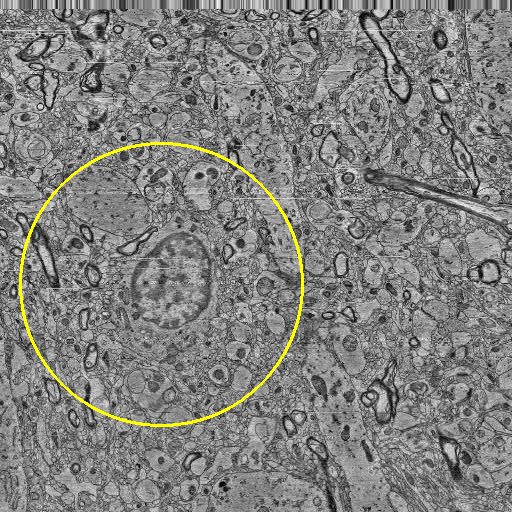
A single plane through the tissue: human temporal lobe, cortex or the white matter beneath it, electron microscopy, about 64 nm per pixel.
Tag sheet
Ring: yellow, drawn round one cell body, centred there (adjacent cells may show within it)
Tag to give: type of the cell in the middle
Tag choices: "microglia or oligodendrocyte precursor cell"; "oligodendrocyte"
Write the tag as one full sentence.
I tag the cell centred in the yellow ring as an oligodendrocyte in this picture.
